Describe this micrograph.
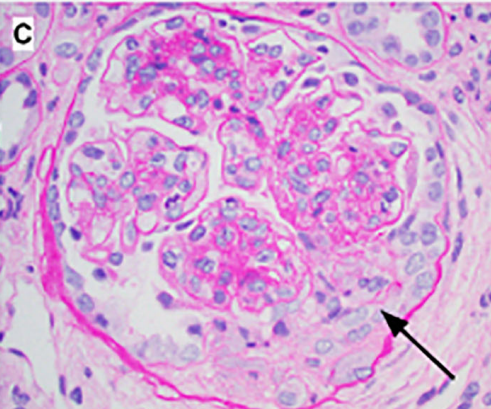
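Glomerulus with lobulated, hypercellular tuft outlined by magenta-staining basement membranes and a pink Bowman's capsule. The lobules are crowded with nuclei, and capillary lumina are narrowed. Along one side a crescent-shaped layer of cells fills Bowman's space between the tuft and the capsule. Surrounding tubules and interstitium lie outside the capsule.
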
